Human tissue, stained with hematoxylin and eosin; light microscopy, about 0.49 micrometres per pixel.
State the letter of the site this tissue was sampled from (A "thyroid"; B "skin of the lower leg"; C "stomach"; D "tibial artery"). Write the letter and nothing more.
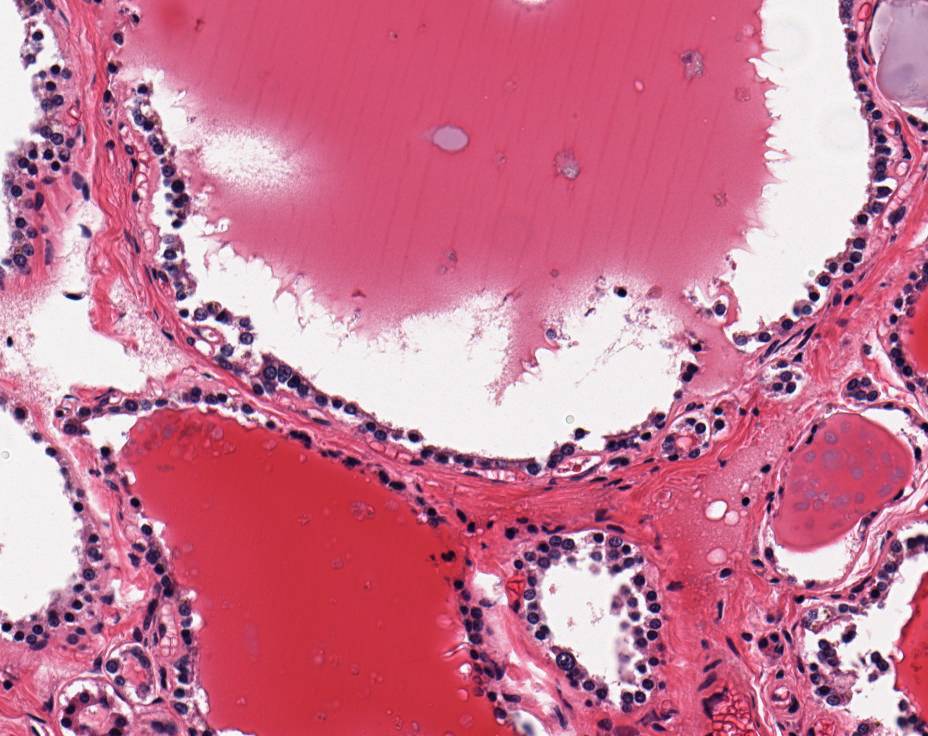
A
